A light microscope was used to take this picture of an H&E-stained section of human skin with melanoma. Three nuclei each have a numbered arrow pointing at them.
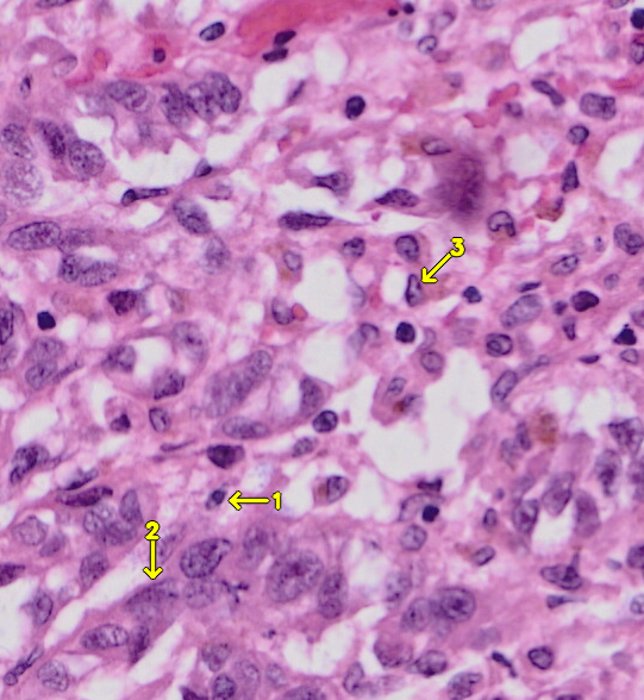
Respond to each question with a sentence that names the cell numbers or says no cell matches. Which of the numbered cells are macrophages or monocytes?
Cell 3 is a macrophage or monocyte, which is true of none of the other numbered cells.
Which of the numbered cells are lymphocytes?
Only cell 1 should be marked as a lymphocyte.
